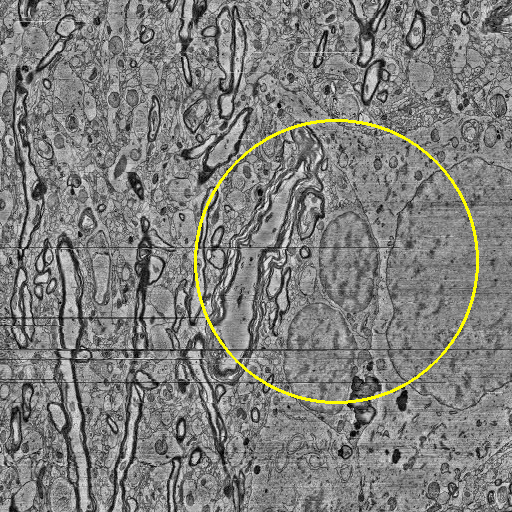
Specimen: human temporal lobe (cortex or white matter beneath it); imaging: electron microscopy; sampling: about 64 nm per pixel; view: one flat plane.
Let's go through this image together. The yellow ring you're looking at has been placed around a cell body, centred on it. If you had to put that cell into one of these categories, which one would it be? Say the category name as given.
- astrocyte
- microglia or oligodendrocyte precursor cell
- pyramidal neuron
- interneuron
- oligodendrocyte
oligodendrocyte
